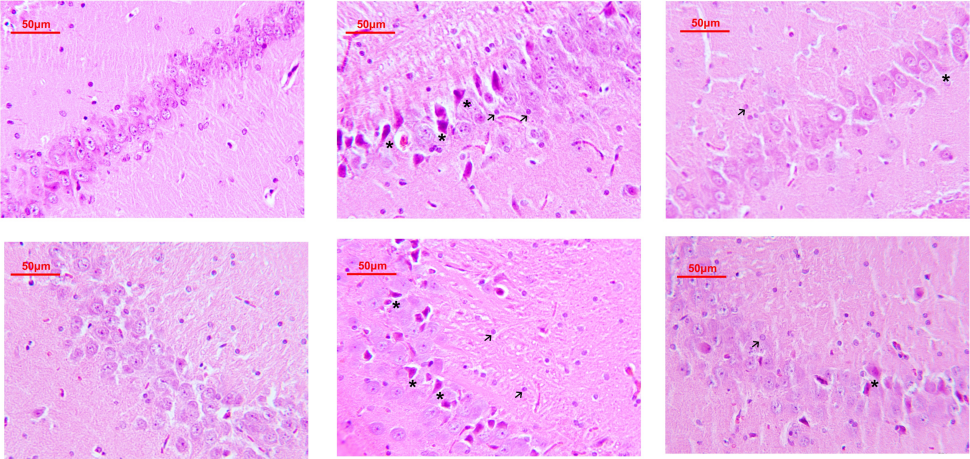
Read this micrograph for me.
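These are six fields of hippocampus stained pink and purple, showing the pyramidal cell layer of neurons set in pale pink, finely fibrillar neuropil. In some fields the neurons are large and rounded with pale cytoplasm, a round, clear nucleus and a distinct dark nucleolus, packed closely into a band. In other fields many neurons are shrunken, angular and stained a deep purple-magenta, with dark, condensed nuclei, and clear spaces surround them. Small, elongated dark nuclei lie scattered among the neurons in the neuropil.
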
